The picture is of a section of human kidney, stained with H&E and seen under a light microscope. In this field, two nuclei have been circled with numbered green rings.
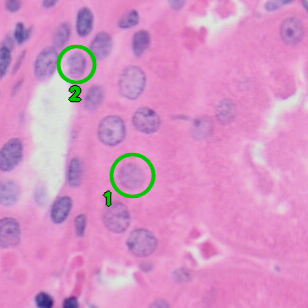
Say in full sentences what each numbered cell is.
Cell 1 is a proximal tubule cell and cell 2 is a collecting duct cell.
